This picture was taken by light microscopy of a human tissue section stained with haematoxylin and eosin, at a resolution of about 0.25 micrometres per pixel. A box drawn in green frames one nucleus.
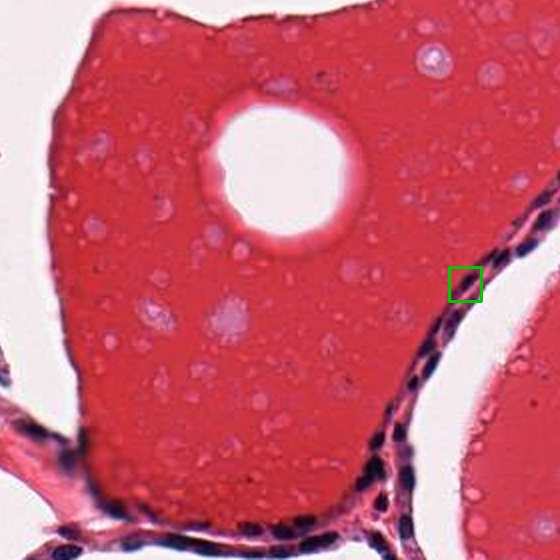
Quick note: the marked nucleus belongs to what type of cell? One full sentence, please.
The nucleus marked in the section is that of a thyroid follicular cell.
